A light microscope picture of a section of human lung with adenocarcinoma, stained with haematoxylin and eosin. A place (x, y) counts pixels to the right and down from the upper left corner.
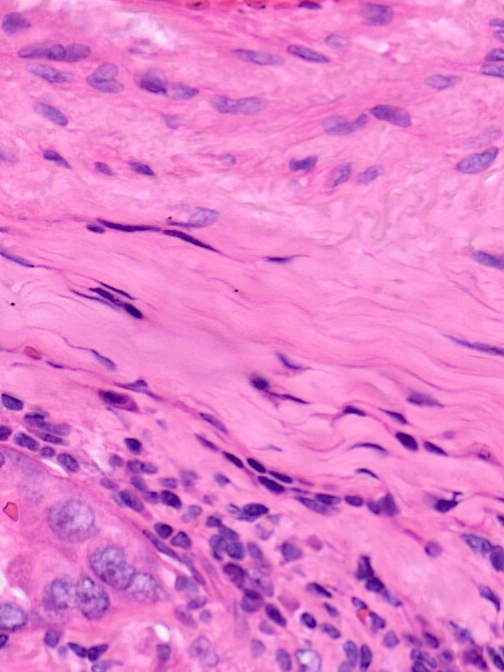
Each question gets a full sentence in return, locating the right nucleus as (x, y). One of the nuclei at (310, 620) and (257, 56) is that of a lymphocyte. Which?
The nucleus of a lymphocyte is the one at (310, 620).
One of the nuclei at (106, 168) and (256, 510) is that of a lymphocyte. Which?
Of these two nuclei, only the one at (256, 510) belongs to a lymphocyte.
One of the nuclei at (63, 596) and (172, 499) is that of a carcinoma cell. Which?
The nucleus at (63, 596) is part of a carcinoma cell, while the other is not.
